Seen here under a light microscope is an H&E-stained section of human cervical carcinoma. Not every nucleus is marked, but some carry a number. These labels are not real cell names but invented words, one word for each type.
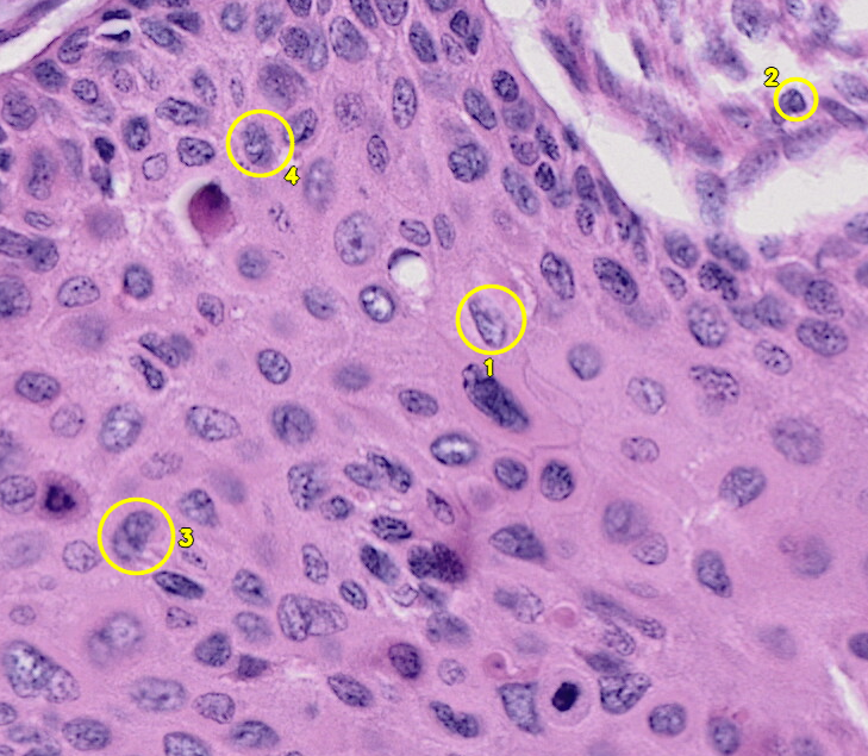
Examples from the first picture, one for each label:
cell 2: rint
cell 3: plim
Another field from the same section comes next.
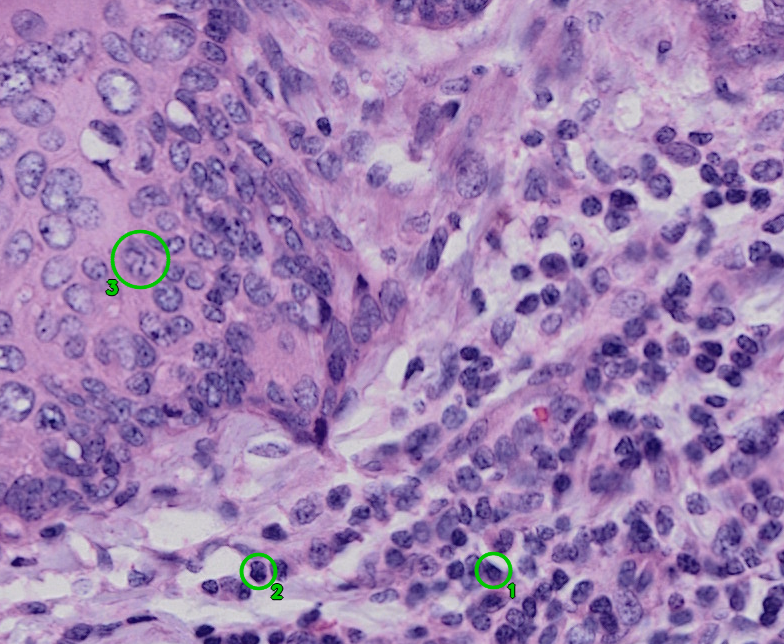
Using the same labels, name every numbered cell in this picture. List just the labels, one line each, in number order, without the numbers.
rint
rint
plim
